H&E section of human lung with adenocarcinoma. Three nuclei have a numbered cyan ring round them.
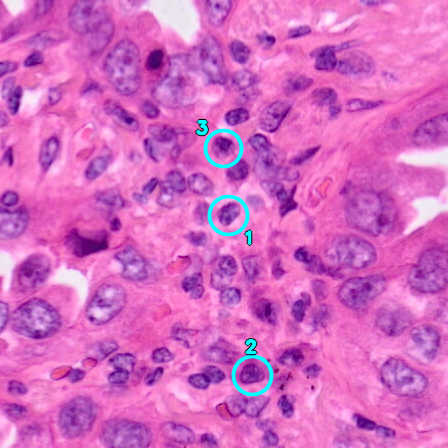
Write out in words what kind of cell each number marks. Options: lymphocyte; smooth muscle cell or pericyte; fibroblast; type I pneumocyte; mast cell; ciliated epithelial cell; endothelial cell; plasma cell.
Cells 1 and 3 are lymphocytes. Cell 2 is a plasma cell.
